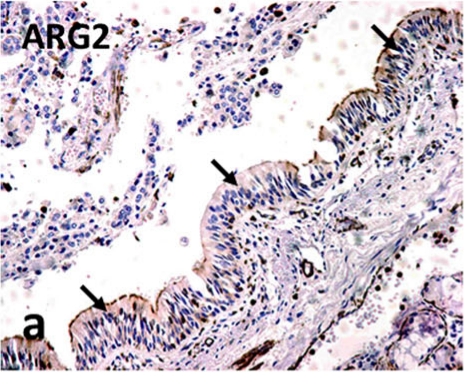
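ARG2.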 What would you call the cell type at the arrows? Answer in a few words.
Bronchial cells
